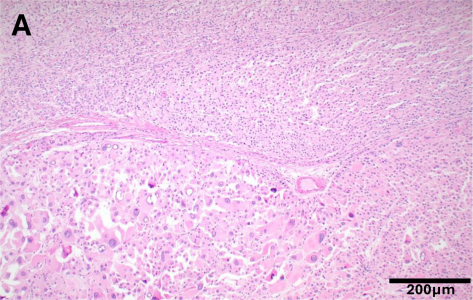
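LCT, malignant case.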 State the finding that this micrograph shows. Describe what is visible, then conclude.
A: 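Abrupt transition between low and high‐grade areas. The upper part shows a uniform, densely cellular area. The lower part shows loosely arranged, larger, irregular cells. A sharp boundary runs across the middle of the field.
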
